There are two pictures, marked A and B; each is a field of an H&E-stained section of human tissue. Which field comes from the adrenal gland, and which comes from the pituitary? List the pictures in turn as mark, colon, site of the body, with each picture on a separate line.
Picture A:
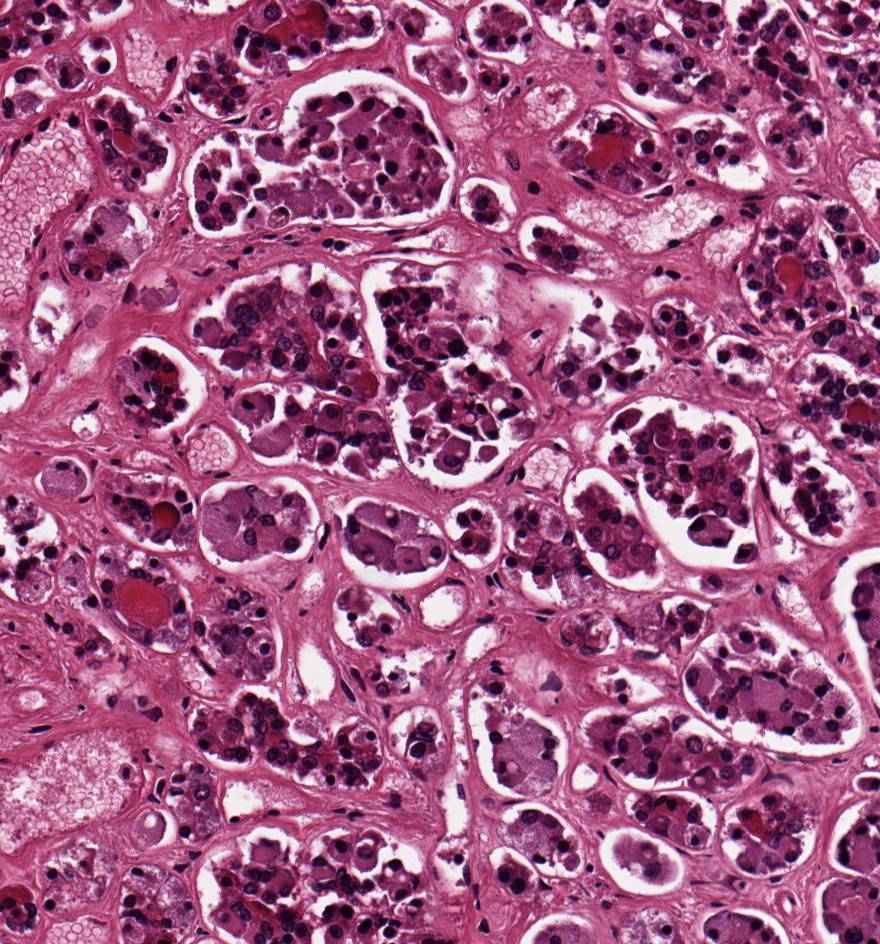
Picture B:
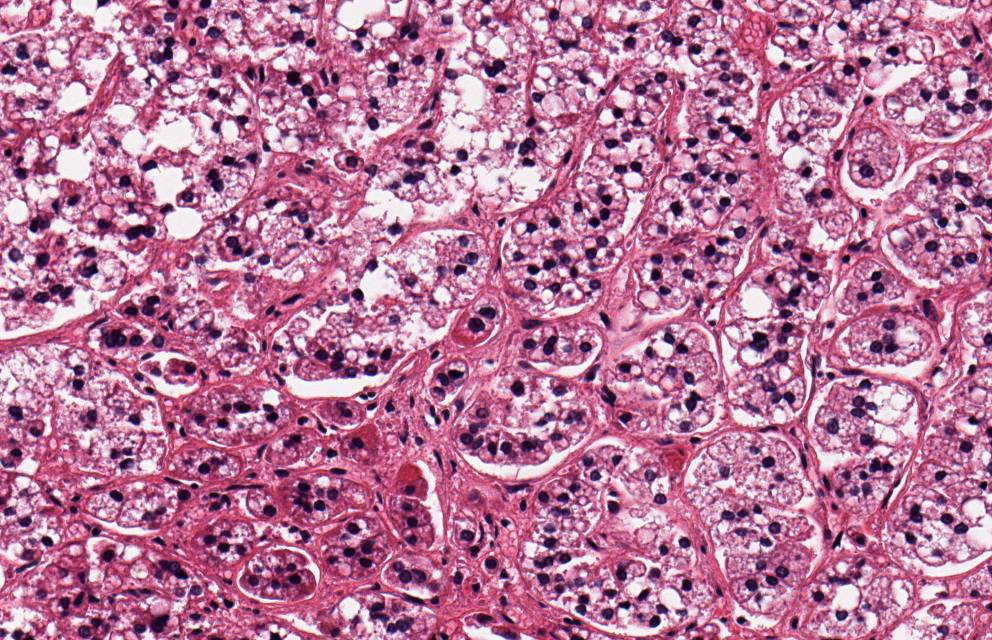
A: pituitary
B: adrenal gland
